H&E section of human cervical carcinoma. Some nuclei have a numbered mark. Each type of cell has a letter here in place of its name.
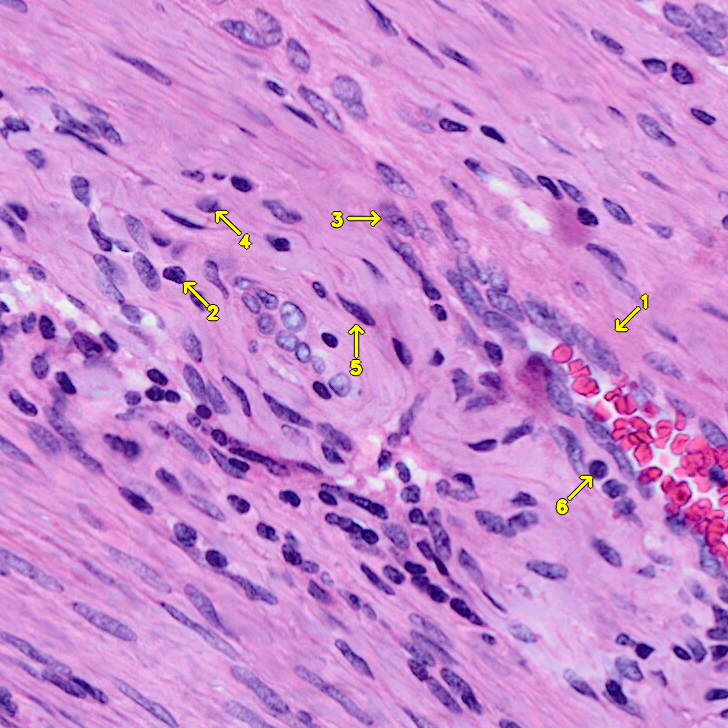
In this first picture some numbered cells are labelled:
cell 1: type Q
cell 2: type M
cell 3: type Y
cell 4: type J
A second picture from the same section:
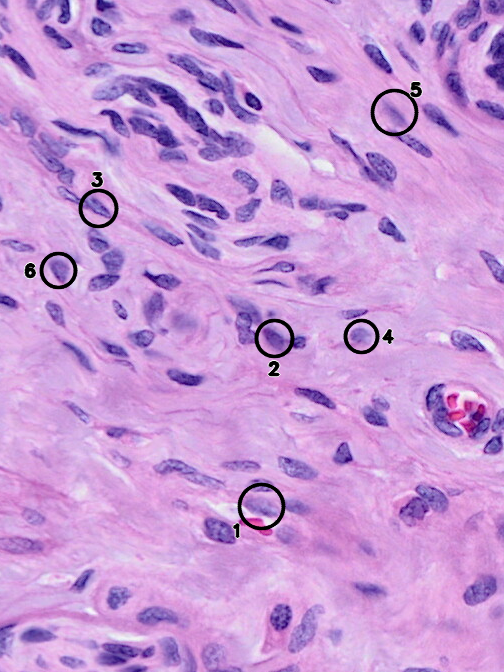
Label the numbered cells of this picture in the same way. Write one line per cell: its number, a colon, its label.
1: type Q
2: type J
3: type Y
4: type J
5: type J
6: type J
